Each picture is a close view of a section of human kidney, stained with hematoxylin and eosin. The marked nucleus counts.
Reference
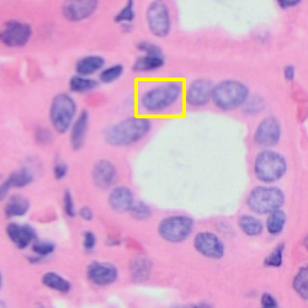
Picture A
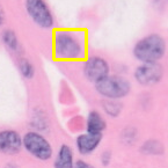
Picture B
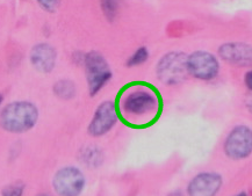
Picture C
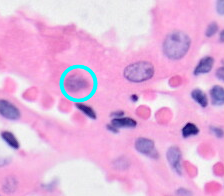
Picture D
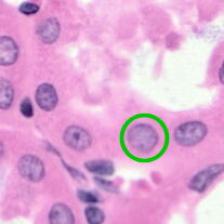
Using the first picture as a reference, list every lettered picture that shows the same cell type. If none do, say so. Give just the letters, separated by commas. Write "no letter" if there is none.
A, B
